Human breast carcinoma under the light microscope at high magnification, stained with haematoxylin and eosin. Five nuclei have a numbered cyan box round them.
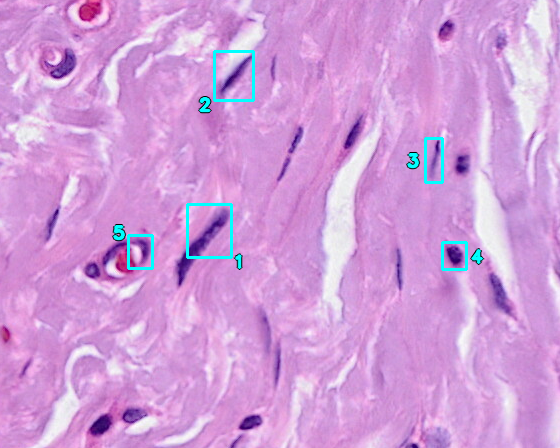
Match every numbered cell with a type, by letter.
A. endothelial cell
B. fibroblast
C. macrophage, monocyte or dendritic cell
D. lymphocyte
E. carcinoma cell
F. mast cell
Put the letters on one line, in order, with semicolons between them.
B; B; B; F; A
